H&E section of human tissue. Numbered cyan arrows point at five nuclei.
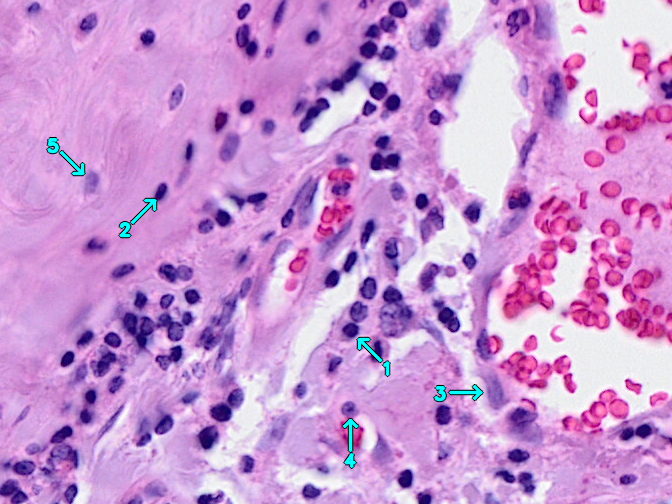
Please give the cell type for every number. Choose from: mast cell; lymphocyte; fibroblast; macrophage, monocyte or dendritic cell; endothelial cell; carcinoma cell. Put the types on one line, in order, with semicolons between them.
lymphocyte; lymphocyte; endothelial cell; endothelial cell; fibroblast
